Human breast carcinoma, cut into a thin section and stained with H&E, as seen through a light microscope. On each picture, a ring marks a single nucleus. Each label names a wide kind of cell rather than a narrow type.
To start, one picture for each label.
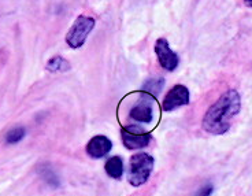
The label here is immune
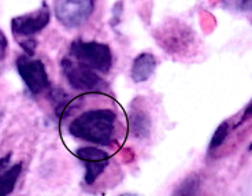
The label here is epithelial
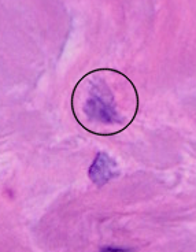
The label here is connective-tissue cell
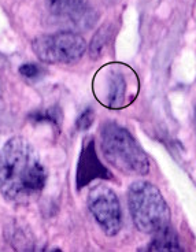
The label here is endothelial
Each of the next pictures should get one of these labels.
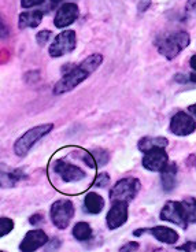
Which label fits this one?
immune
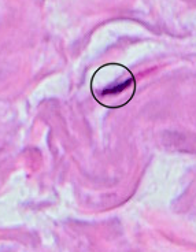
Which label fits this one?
connective-tissue cell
